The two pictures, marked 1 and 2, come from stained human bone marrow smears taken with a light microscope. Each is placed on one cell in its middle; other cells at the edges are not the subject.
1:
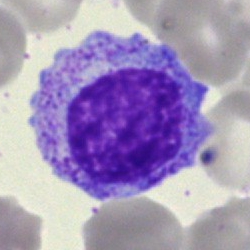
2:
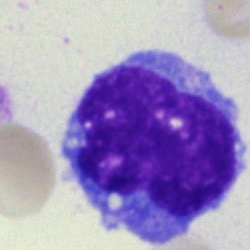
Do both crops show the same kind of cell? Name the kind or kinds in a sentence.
No, crop 1 contains a myelocyte, and crop 2 contains a blast.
